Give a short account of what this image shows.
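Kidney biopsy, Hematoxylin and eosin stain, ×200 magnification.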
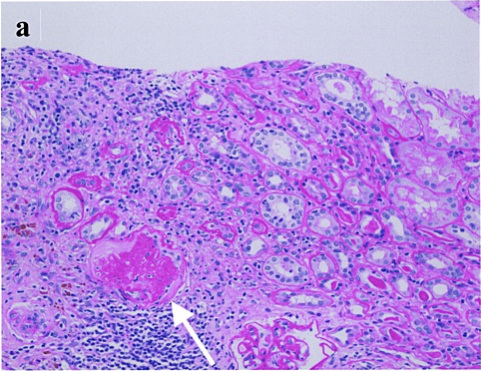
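Renal cortex with closely packed tubules lined by cuboidal epithelium with pink basement membranes, and an interstitium containing many small round dark-blue lymphocytes, densest in a sheet at the lower left. One glomerulus near the lower left is shrunken into a dense pink mass without open capillary loops, while another glomerulus at the lower edge keeps a more cellular tuft.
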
